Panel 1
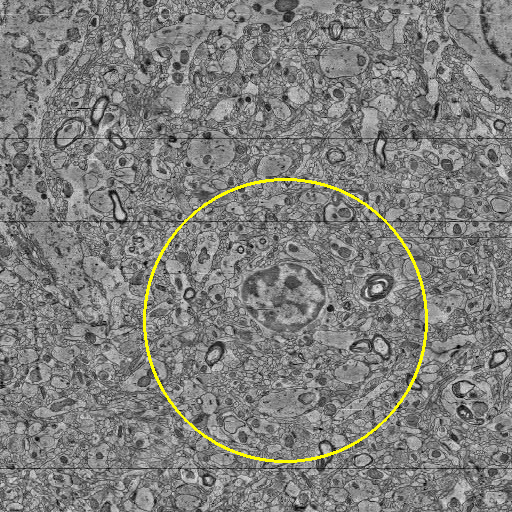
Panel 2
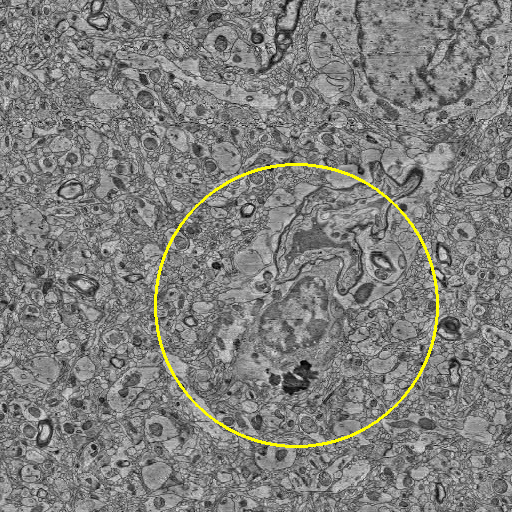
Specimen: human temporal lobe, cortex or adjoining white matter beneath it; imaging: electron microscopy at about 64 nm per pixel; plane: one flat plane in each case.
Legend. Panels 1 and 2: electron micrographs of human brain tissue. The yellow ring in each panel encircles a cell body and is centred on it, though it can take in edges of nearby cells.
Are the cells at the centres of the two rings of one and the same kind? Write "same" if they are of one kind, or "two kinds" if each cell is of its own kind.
two kinds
